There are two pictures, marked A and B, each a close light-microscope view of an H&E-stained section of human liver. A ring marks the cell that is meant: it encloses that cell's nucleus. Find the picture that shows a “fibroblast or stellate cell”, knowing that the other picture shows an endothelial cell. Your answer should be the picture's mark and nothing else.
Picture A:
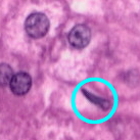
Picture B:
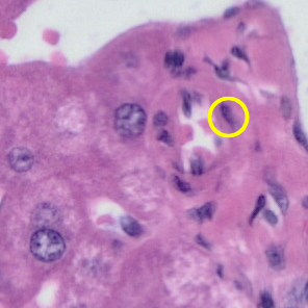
B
